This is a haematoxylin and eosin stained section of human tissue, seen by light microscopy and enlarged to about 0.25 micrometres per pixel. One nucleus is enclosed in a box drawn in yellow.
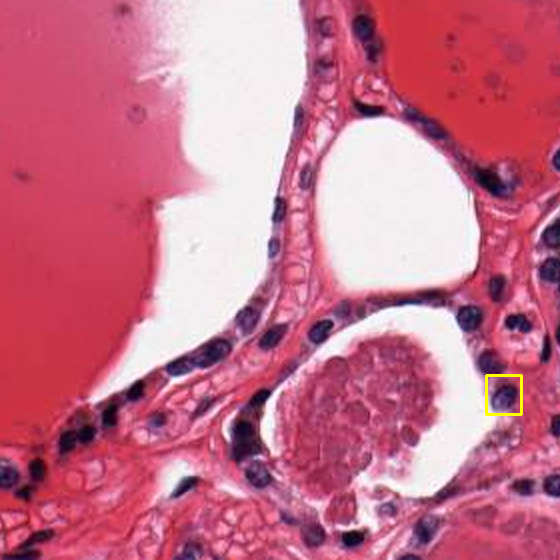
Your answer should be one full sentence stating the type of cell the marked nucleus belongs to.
The marked nucleus is identified as belonging to a thyroid follicular cell.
